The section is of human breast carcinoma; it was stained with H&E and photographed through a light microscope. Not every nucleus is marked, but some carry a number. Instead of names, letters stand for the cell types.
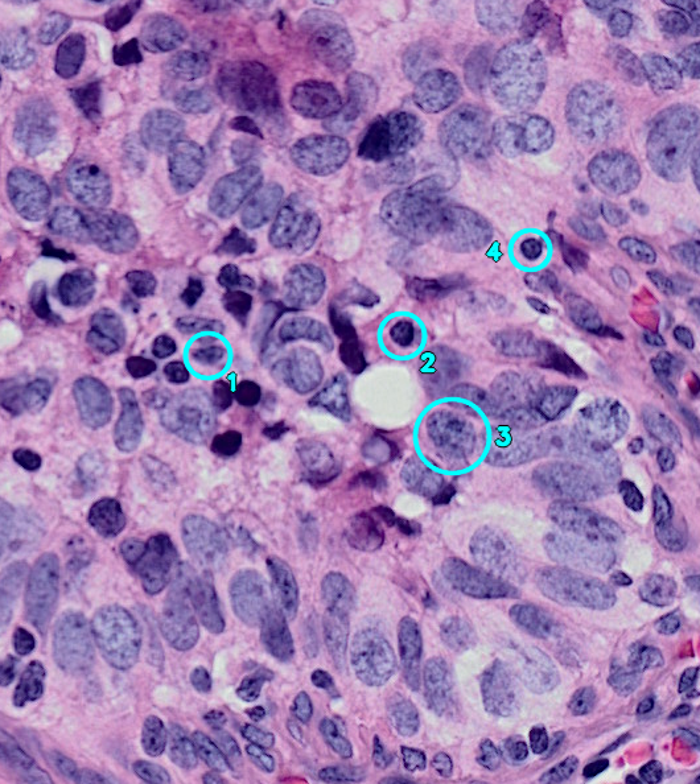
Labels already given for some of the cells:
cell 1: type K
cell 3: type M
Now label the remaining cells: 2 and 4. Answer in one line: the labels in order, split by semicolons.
type K; type K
